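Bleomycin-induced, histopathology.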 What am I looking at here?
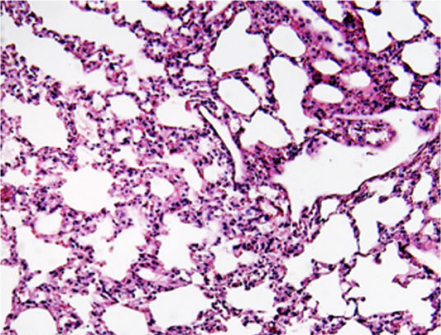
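In places the tissue forms solid, densely cellular patches where no air space remains, consistent with inflammatory cells filling the interstitium. A small vessel or airway profile runs through the middle. Overall the lung looks more solid and cellular than normal open alveolar tissue.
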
